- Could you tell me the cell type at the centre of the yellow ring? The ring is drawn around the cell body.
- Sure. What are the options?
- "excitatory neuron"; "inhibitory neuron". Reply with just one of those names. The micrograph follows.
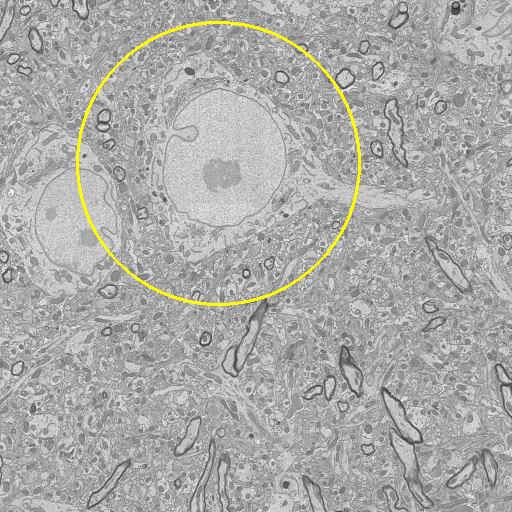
excitatory neuron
